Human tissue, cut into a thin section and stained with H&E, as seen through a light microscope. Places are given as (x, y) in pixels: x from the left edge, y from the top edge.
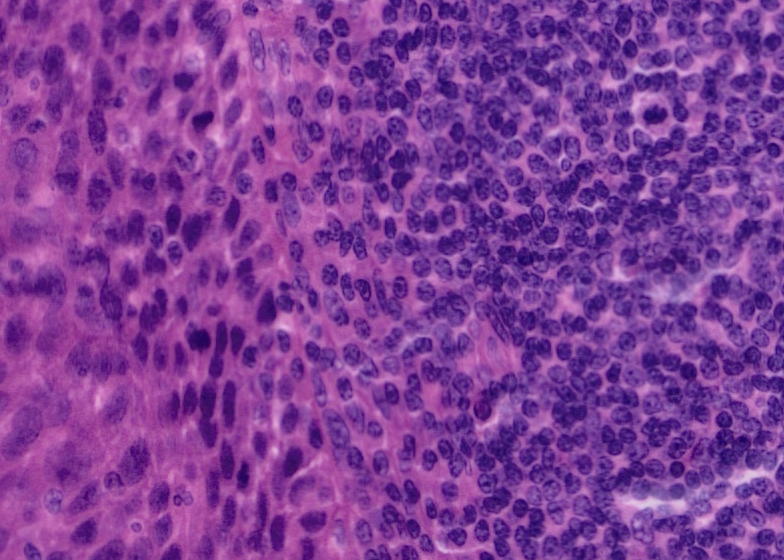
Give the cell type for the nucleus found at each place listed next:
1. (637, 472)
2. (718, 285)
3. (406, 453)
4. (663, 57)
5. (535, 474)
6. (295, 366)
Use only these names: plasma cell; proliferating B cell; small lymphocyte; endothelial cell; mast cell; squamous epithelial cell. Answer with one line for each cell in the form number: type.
1: small lymphocyte
2: small lymphocyte
3: plasma cell
4: small lymphocyte
5: small lymphocyte
6: plasma cell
